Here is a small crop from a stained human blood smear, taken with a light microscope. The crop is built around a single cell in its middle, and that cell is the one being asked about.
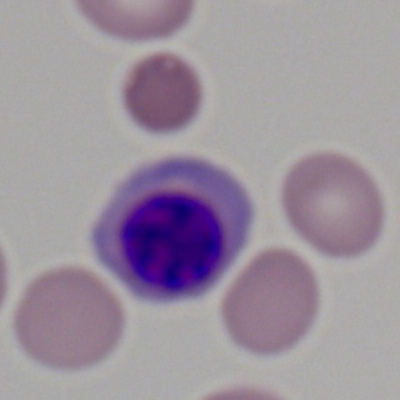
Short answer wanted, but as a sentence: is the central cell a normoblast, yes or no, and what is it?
Yes, placed in the middle of the crop is a normoblast.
